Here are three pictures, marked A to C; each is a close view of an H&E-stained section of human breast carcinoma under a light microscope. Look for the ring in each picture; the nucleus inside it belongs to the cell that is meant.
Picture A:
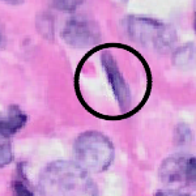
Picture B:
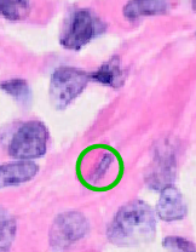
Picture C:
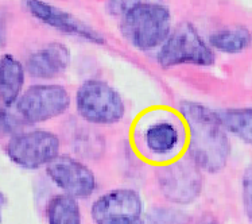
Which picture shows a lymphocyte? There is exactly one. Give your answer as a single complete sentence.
It is picture C that shows the lymphocyte.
